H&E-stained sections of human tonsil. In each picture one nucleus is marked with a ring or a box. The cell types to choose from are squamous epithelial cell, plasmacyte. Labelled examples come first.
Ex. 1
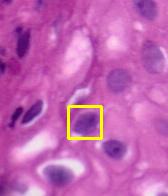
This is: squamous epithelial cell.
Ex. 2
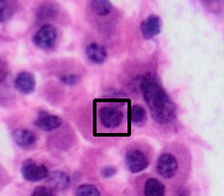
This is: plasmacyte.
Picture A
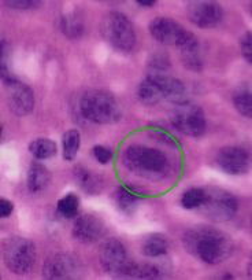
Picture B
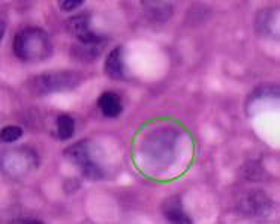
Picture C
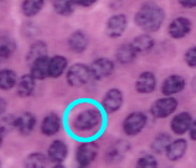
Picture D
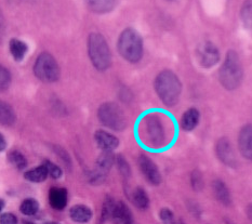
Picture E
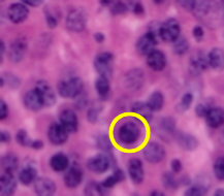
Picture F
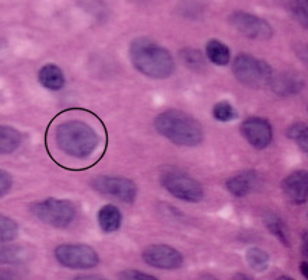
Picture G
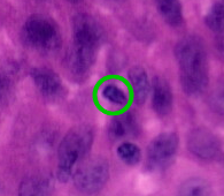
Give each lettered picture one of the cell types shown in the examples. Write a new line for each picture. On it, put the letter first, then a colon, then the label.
A: squamous epithelial cell.
B: squamous epithelial cell.
C: plasmacyte.
D: squamous epithelial cell.
E: plasmacyte.
F: squamous epithelial cell.
G: squamous epithelial cell.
